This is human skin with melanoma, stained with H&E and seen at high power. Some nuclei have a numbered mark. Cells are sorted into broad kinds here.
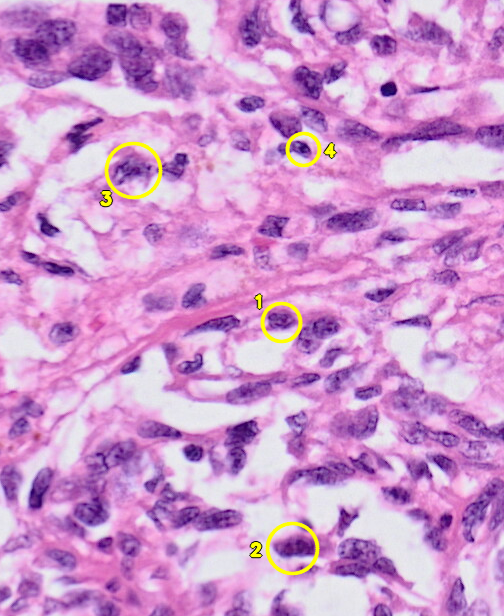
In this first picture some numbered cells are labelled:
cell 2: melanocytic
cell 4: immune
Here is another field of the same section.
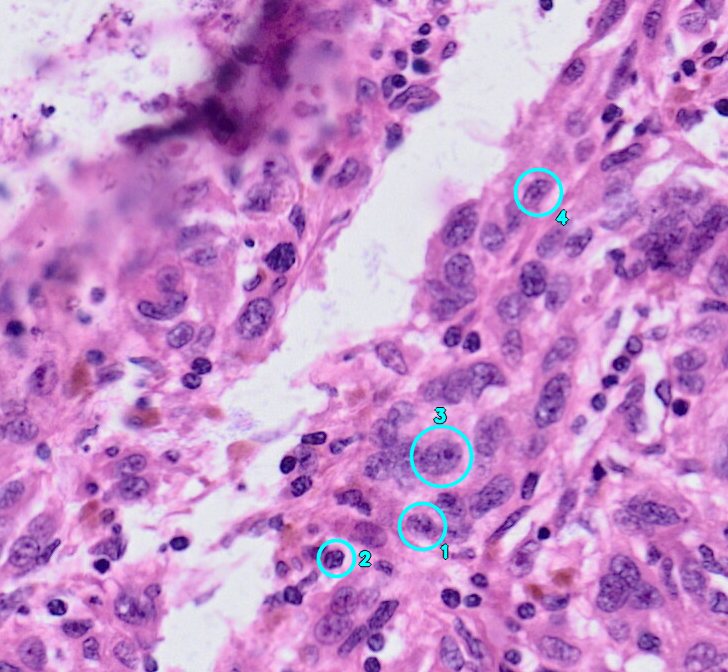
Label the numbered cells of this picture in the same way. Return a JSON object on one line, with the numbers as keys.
{"1": "melanocytic", "2": "immune", "3": "melanocytic", "4": "melanocytic"}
